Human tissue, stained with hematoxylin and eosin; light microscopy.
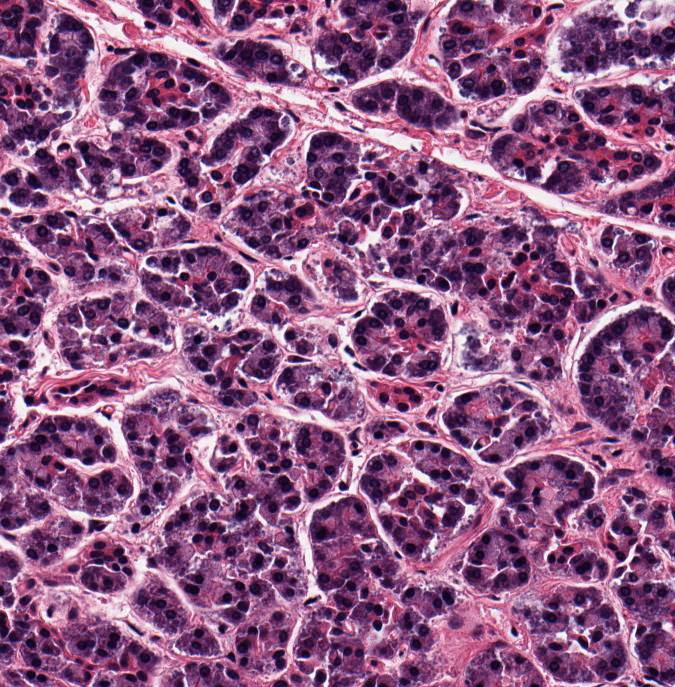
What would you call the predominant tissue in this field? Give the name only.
exocrine pancreas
